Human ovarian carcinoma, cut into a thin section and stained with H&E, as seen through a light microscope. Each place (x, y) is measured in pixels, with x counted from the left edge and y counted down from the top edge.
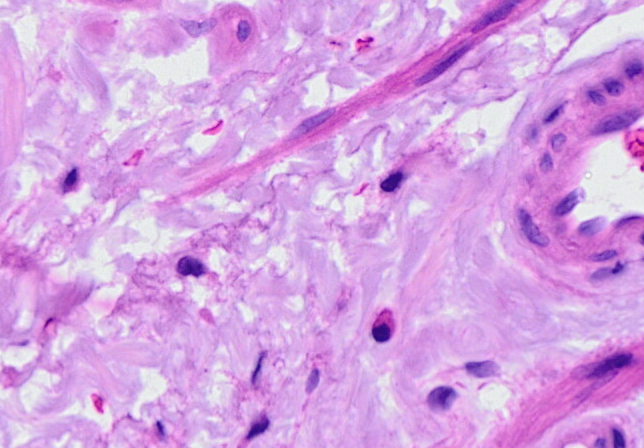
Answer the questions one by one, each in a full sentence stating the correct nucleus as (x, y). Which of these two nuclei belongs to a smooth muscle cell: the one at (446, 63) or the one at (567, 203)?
The nucleus of a smooth muscle cell lies at (446, 63), not at the other position.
